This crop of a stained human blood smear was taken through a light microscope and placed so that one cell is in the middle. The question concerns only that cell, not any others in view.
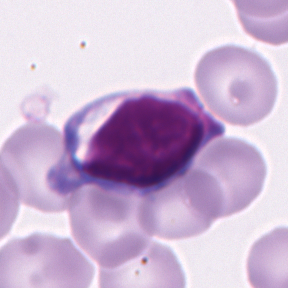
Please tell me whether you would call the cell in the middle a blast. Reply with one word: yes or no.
no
